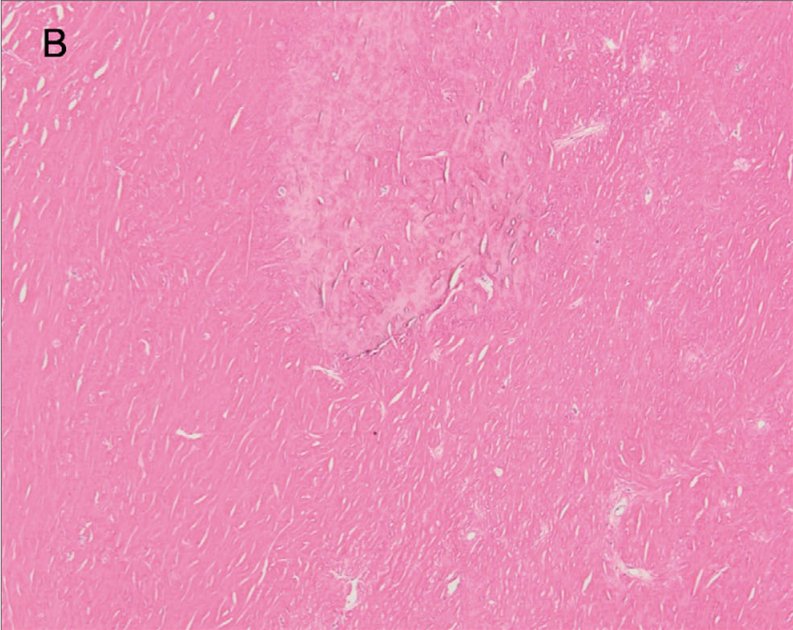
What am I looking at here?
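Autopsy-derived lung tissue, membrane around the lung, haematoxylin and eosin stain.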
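Few nuclei stand out within it, so the tissue looks poor in cells. Many narrow, slit-like clefts and small spaces run through it, mostly in a roughly parallel, wavy pattern. A slightly paler, looser zone lies toward the upper middle of the field. This glassy, cell-poor appearance fits hyalinized fibrous tissue, as seen in a thickened pleura.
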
